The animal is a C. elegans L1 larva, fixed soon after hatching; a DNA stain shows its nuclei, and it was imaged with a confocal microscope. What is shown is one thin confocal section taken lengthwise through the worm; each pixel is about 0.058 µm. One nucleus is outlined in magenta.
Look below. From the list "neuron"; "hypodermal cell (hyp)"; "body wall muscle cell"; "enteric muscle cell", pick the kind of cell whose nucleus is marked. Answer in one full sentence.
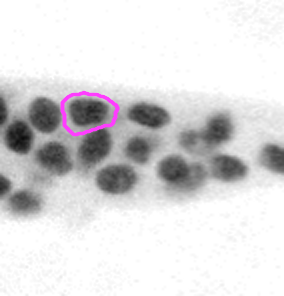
It belongs to an enteric muscle cell.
